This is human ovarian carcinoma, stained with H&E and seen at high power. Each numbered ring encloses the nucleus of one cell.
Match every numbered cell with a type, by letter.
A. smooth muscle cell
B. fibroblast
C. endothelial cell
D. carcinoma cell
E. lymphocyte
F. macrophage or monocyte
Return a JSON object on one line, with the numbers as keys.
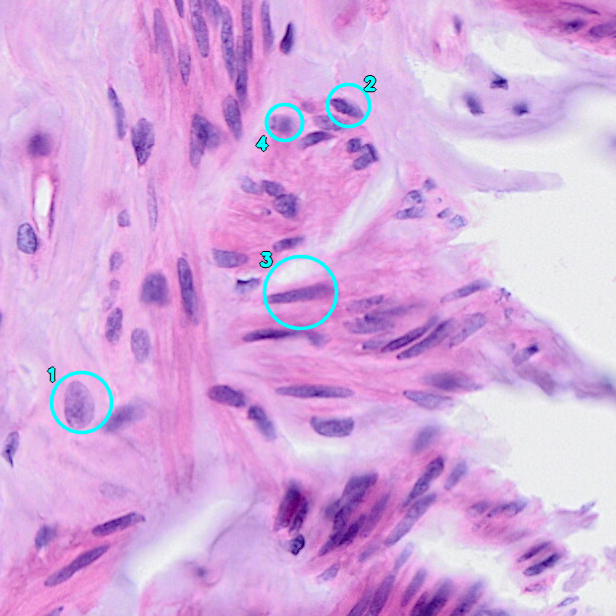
{"1": "B", "2": "A", "3": "A", "4": "A"}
